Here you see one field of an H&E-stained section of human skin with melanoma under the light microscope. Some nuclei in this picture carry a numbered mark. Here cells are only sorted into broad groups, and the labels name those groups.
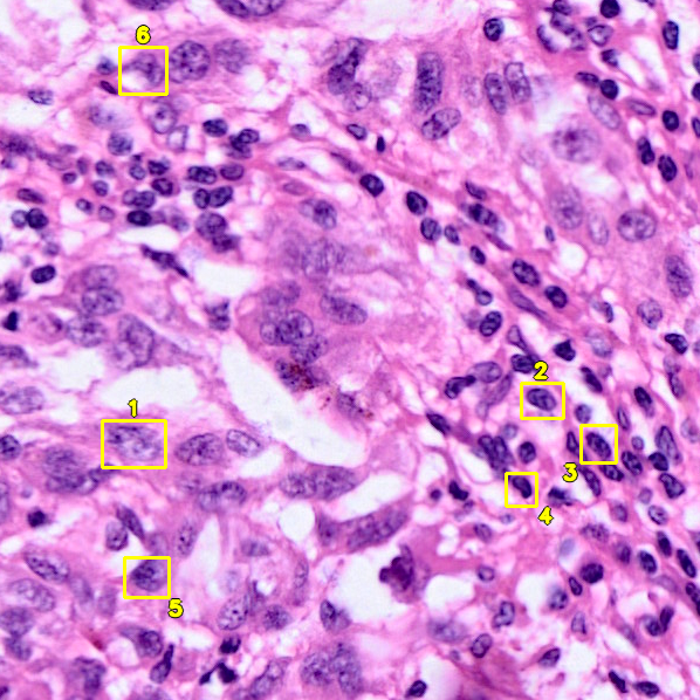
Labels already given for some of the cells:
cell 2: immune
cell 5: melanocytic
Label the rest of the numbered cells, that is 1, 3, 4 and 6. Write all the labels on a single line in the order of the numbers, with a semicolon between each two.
melanocytic; immune; immune; melanocytic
